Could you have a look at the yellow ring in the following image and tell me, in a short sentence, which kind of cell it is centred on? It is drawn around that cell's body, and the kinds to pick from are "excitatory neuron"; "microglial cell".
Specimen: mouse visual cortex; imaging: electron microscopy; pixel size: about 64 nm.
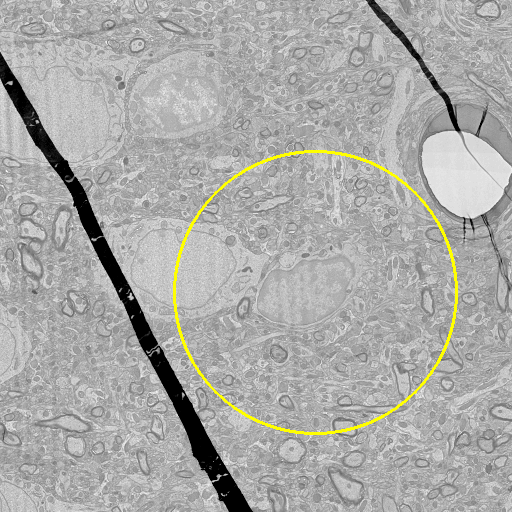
The ring is centred on the body of a microglial cell.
